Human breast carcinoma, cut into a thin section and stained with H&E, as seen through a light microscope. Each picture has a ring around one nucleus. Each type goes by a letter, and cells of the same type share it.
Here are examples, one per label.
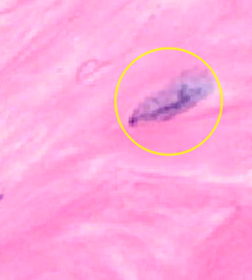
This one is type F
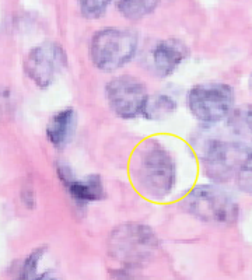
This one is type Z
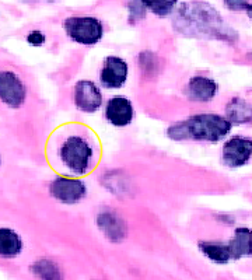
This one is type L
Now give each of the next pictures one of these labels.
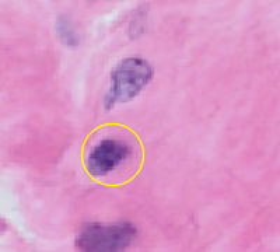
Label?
type L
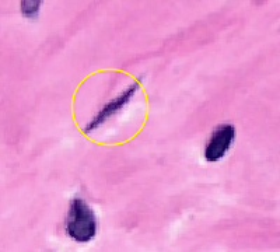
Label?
type F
